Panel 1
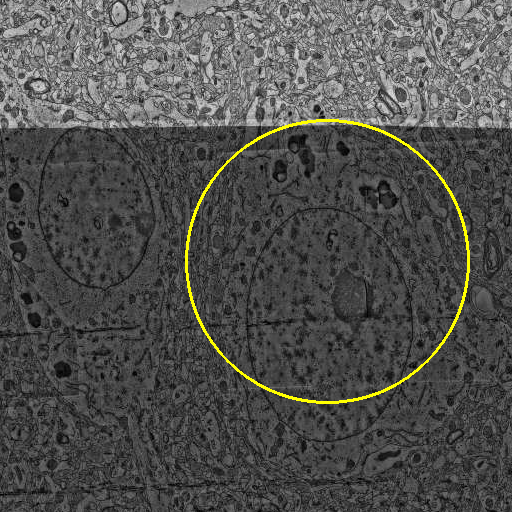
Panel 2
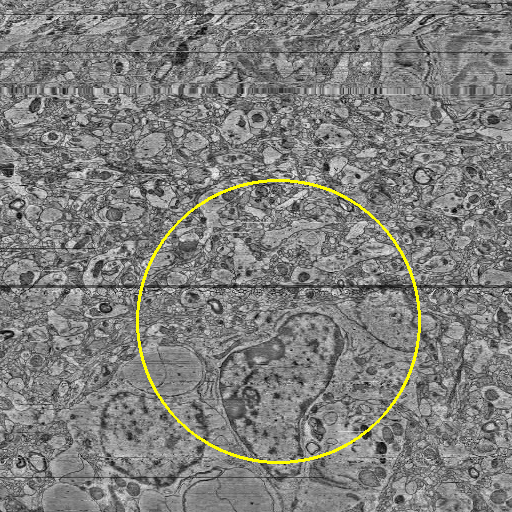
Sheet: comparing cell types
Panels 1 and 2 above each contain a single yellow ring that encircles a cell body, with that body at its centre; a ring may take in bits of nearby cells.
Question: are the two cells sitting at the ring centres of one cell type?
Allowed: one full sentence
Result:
No, the ring-centre cells in Panel 1 and Panel 2 are of two types.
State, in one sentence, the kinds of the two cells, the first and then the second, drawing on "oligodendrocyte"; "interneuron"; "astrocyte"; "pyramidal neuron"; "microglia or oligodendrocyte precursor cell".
The ring in the second picture is centred on a microglial cell or oligodendrocyte precursor cell, the ring in the first on a pyramidal neuron.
